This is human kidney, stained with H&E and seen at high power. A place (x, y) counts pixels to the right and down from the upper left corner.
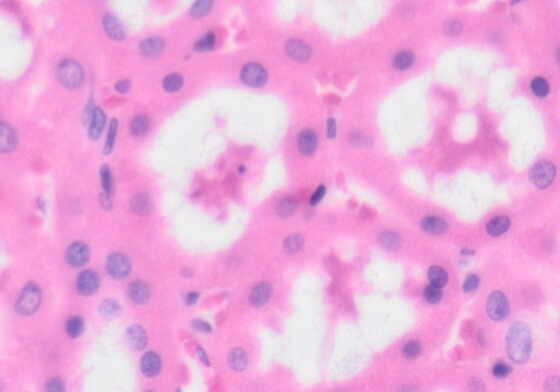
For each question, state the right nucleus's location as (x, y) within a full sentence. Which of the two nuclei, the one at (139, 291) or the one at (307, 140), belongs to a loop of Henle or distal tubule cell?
In this pair, the nucleus at (139, 291) belongs to a loop of Henle or distal tubule cell.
